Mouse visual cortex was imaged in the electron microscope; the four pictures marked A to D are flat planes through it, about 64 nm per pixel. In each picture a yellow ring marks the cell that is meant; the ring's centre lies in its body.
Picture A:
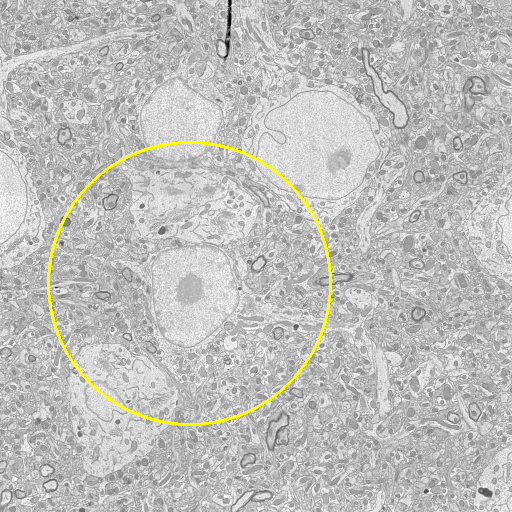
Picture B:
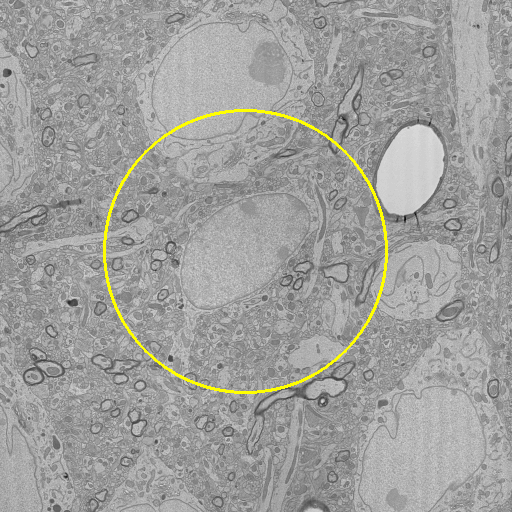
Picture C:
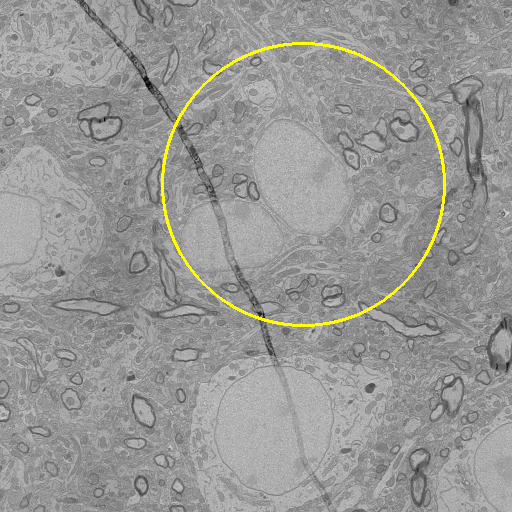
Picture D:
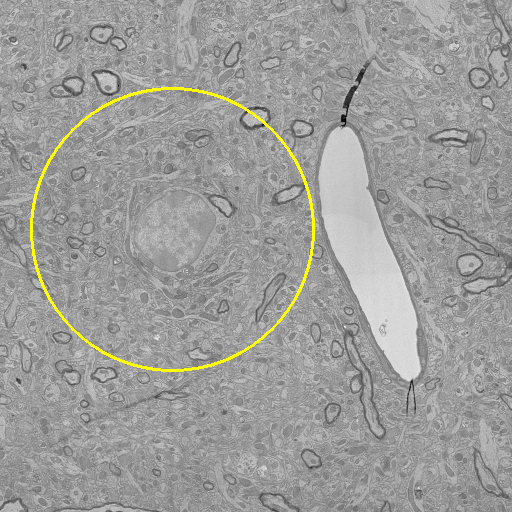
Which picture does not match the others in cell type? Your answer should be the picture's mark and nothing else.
D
